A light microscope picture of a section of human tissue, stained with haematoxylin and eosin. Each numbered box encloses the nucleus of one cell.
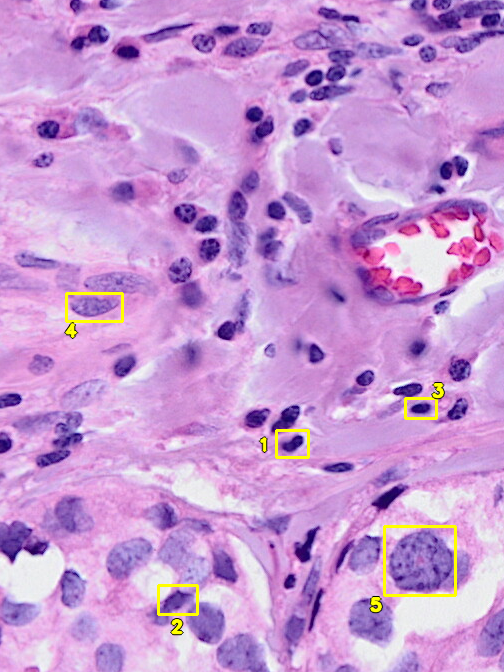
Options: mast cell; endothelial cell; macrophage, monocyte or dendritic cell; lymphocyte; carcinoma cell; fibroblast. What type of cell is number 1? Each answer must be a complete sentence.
Denoted by the label 1 in the section is a lymphocyte.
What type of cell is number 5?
In this section, the cell numbered 5 is a carcinoma cell.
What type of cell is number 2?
In this section, number 2 marks a carcinoma cell.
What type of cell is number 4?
In the marked set, the cell given number 4 is an endothelial cell.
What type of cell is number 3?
The one numbered 3 among the marked cells is a lymphocyte.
